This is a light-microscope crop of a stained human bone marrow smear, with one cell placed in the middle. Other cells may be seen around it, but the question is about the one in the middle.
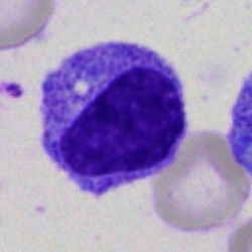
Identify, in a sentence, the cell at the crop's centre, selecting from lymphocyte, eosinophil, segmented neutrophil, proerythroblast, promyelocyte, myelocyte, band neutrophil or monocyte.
In the crop, the cell of interest at the centre is a myelocyte.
